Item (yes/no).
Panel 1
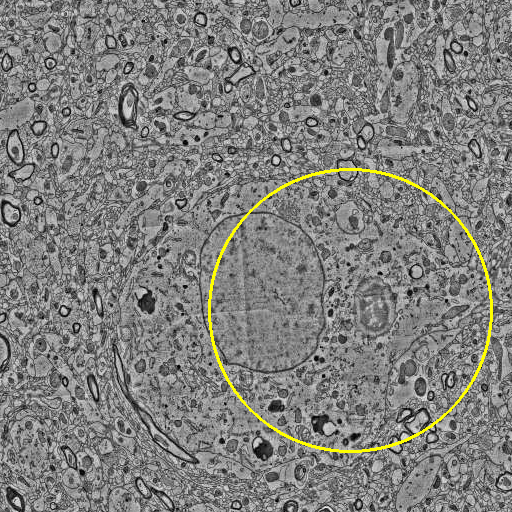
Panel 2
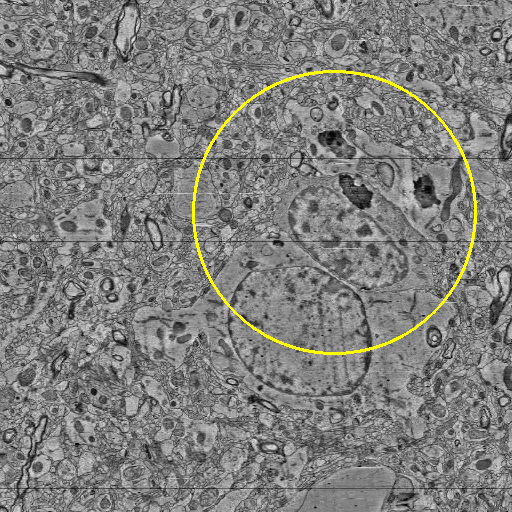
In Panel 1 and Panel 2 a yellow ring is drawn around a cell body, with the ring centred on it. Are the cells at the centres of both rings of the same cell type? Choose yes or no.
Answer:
yes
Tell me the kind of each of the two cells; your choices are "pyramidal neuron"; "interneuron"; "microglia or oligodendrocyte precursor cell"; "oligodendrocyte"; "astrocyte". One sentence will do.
The cell in the first picture is an oligodendrocyte, and so is the one in the second.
